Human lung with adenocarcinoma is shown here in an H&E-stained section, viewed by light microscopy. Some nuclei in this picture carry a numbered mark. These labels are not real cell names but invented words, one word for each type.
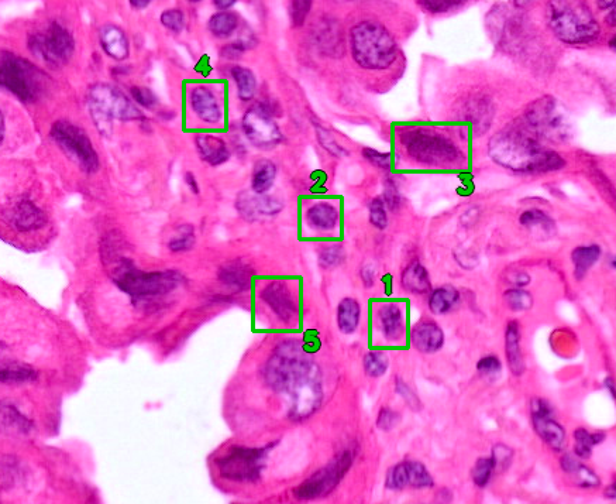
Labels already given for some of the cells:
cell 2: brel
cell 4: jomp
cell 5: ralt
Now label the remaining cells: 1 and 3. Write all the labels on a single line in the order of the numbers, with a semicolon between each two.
brel; ralt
